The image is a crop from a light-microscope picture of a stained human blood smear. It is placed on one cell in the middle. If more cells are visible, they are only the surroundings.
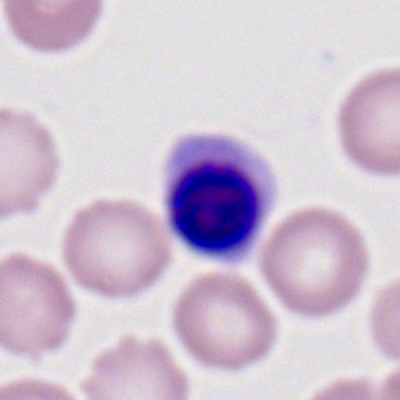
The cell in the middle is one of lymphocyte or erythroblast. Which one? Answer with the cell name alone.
erythroblast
